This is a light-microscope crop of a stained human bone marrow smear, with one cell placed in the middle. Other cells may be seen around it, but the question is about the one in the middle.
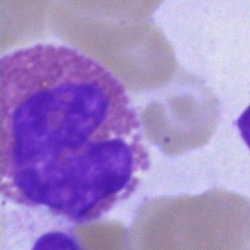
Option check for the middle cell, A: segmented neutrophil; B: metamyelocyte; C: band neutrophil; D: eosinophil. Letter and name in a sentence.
The centrally positioned cell is an eosinophil, consistent with option D, which is correct.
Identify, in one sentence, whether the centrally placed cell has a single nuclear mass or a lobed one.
Have a look at the nucleus, which is one compact mass, round, oval or kidney-shaped.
